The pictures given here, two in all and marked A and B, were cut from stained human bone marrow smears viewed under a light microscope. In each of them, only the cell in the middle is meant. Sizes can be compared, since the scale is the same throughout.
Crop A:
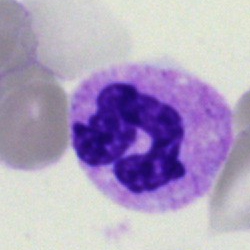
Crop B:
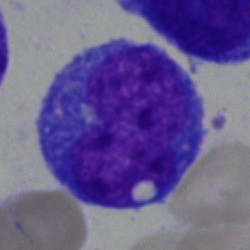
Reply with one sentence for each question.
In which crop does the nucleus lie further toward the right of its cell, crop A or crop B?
Seen within its cell, the nucleus in crop B lies further toward the right.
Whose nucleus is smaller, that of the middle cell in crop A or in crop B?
The nucleus in crop A is smaller; the one in crop B has about 2 times its area.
